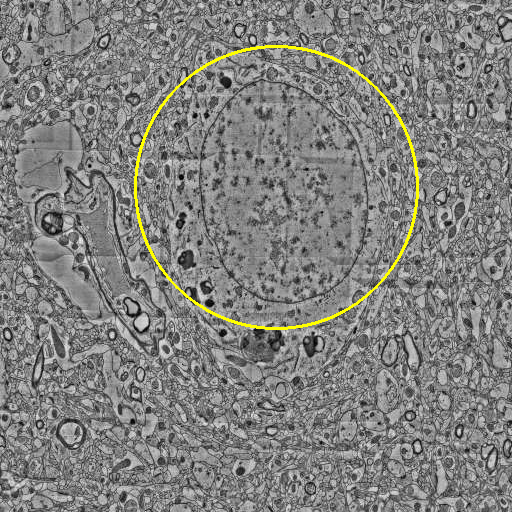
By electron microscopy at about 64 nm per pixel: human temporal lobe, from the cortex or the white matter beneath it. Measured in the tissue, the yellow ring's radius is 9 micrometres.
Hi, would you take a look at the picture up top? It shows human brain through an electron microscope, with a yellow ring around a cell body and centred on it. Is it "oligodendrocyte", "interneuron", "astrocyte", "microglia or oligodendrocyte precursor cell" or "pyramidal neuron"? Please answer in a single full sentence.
The best fit for the cell in the middle of the ring is a pyramidal neuron, I reckon.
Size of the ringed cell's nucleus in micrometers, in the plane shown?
Approximately 14 by 11 micrometers in this plane.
